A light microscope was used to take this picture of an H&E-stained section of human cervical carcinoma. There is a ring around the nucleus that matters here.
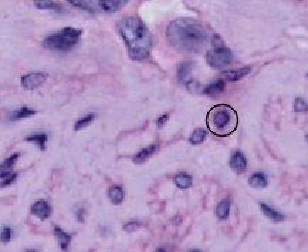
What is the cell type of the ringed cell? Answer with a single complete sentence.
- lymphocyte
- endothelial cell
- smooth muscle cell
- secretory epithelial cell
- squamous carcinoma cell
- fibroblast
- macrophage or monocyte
Among the cells in this section, the ringed cell is a smooth muscle cell.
